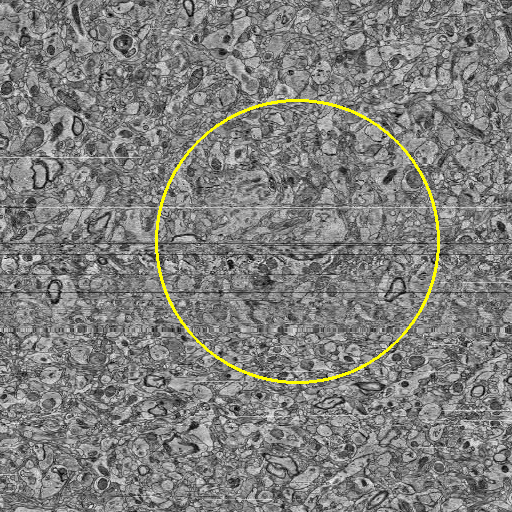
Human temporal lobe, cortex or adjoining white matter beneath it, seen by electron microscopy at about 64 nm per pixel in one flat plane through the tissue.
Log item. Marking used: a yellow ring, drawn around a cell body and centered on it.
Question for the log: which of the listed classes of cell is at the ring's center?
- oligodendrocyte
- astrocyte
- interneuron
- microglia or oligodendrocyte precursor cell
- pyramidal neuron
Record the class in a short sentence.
At the center of the ring lies a microglial cell or oligodendrocyte precursor cell.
